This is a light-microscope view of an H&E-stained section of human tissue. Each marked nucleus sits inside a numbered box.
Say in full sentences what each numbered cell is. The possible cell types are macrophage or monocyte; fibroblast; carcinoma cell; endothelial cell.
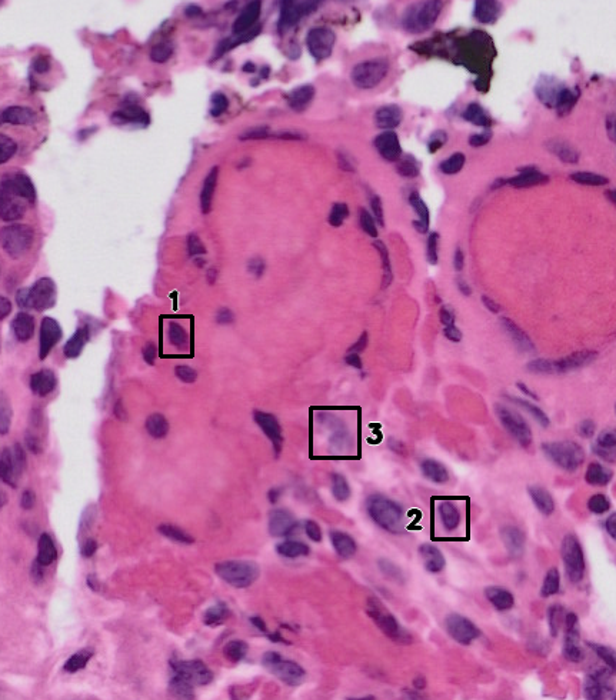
Cell 1 is an endothelial cell, cell 2 is a fibroblast and cell 3 is a fibroblast.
